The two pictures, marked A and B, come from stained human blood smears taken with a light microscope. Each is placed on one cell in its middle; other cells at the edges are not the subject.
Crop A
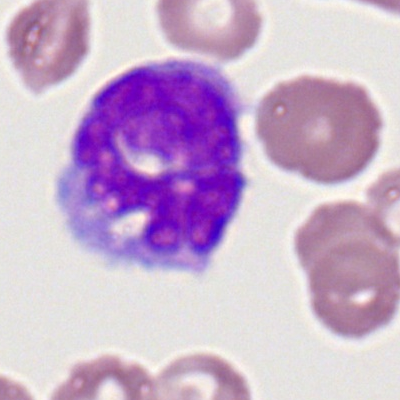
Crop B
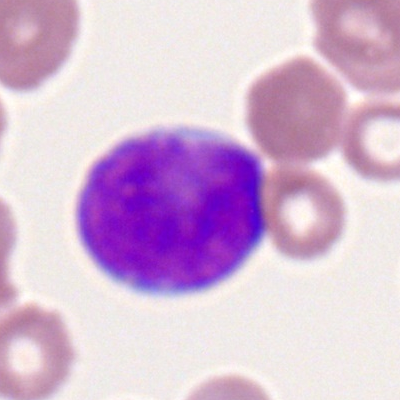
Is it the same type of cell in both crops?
no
